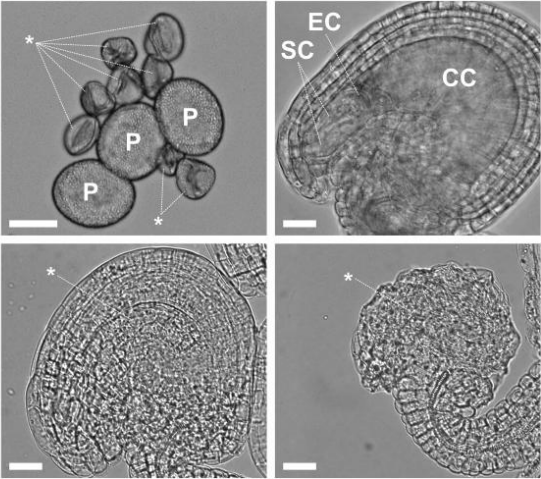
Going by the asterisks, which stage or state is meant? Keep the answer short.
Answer: Aborted gametophytes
